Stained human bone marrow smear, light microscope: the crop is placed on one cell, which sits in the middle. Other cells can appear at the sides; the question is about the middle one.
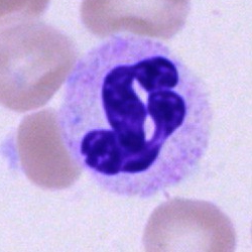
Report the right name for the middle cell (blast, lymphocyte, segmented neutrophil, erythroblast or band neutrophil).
segmented neutrophil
